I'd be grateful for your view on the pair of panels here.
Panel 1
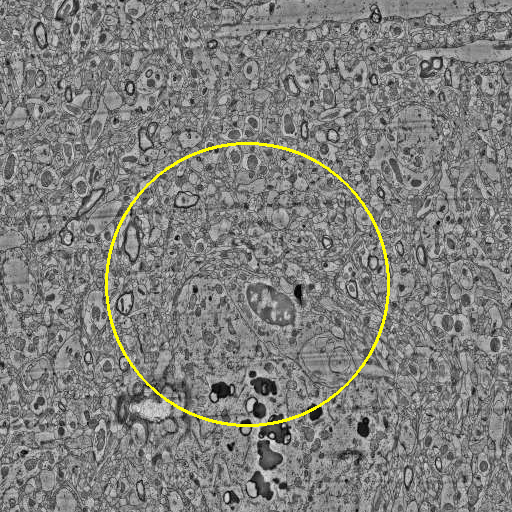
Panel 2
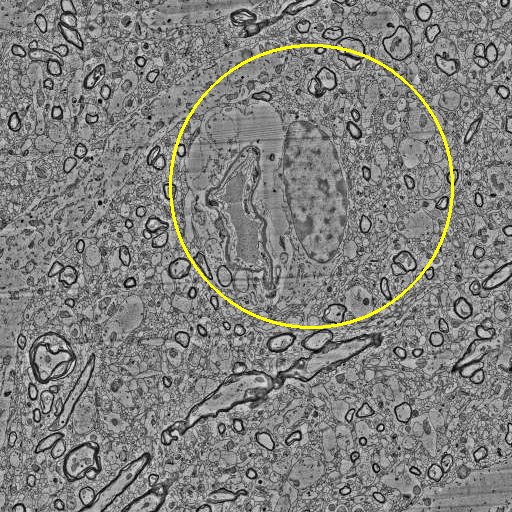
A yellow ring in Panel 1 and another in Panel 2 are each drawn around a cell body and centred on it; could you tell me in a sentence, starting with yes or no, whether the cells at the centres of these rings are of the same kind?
Yes, they are the same kind of cell.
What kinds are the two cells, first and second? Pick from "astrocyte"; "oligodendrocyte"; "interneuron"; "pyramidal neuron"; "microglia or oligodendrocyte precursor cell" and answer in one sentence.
The cell at the ring centre is a microglial cell or oligodendrocyte precursor cell in both pictures.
